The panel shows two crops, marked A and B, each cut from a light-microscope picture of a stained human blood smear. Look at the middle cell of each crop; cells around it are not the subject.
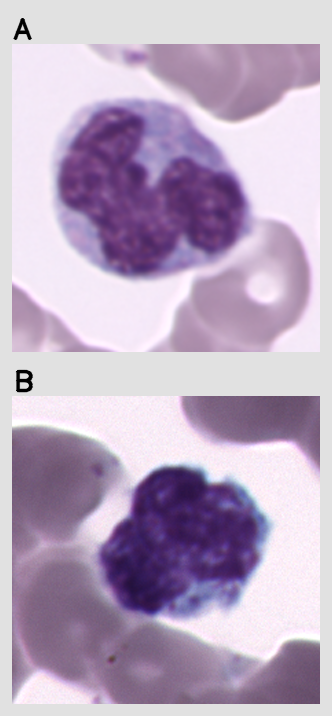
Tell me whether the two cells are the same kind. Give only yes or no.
yes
